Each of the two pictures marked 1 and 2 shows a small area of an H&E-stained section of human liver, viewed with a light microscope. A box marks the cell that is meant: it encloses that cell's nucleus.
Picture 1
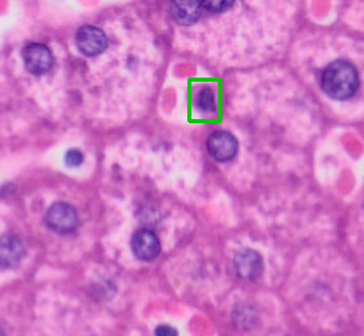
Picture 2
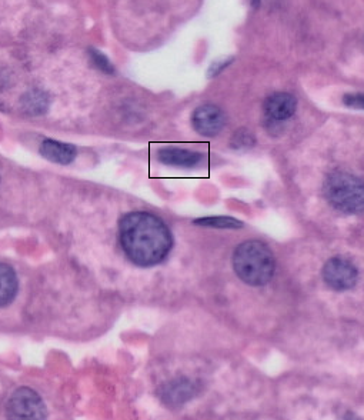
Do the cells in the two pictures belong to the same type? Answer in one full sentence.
Yes, the two pictures both show Kupffer cells.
